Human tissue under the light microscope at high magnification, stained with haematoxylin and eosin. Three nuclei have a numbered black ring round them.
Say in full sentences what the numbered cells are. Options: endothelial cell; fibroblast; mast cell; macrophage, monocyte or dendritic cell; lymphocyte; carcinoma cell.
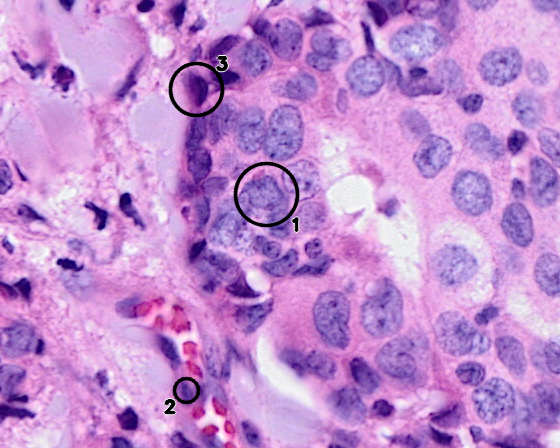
Cell 1 is a carcinoma cell, cell 2 is an endothelial cell and cell 3 is a carcinoma cell.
